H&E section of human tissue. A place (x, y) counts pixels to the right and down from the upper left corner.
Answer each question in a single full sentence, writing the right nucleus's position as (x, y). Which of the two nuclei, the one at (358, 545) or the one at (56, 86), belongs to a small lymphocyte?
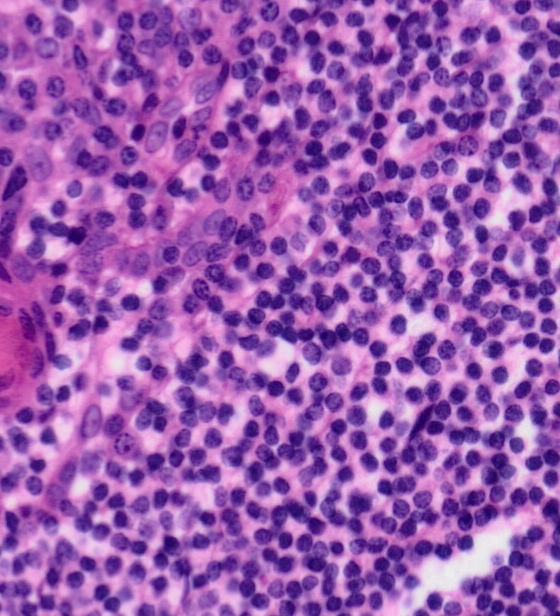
Of the two nuclei, the one at (358, 545) belongs to a small lymphocyte.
